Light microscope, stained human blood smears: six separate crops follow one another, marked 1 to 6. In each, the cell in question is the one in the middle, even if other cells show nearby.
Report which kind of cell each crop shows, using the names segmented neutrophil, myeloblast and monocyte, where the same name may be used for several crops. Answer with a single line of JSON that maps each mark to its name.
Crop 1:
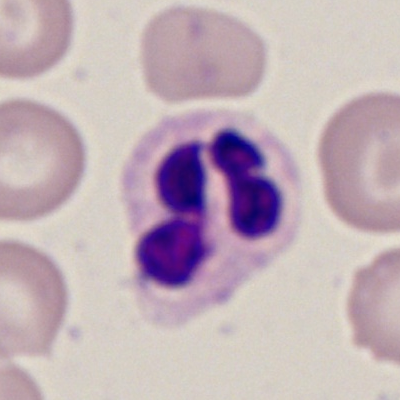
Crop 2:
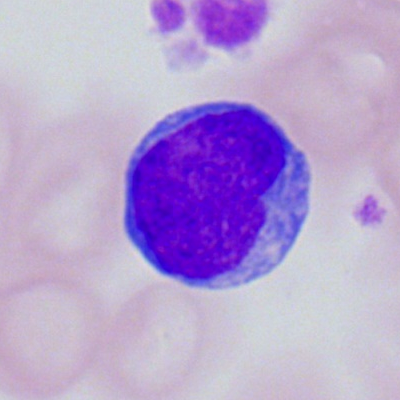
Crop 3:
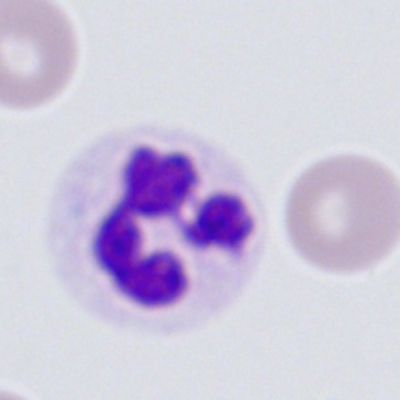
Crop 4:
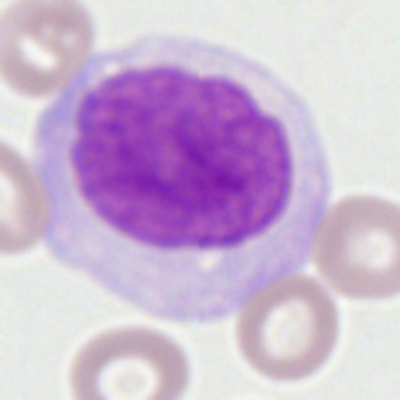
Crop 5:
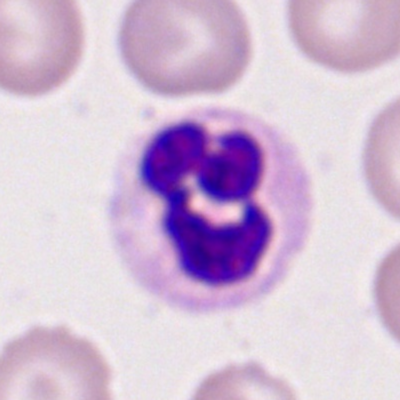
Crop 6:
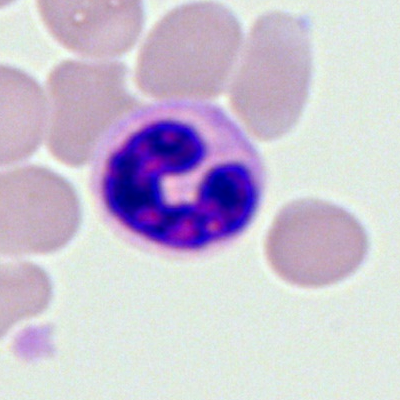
{"1": "segmented neutrophil", "2": "myeloblast", "3": "segmented neutrophil", "4": "monocyte", "5": "segmented neutrophil", "6": "segmented neutrophil"}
